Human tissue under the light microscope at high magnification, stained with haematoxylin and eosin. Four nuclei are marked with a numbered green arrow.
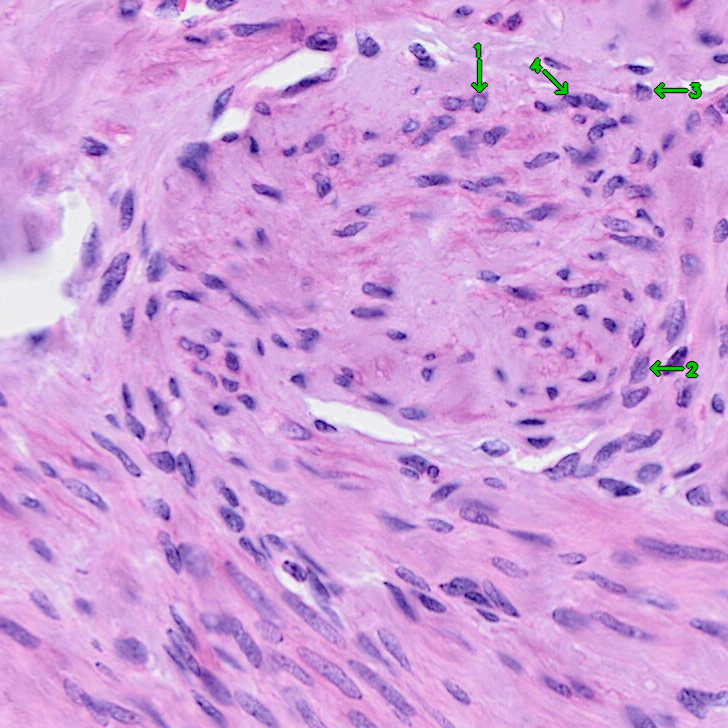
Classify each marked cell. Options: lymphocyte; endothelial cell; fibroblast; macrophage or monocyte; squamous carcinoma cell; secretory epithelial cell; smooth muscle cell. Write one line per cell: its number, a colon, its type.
1: smooth muscle cell
2: fibroblast
3: fibroblast
4: fibroblast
